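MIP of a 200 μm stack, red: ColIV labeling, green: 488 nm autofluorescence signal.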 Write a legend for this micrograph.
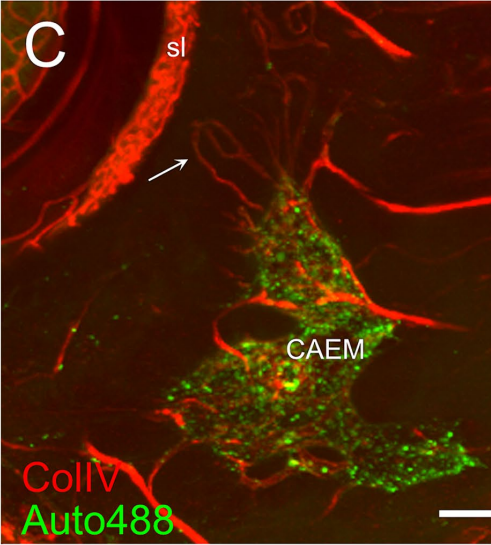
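A region beside the cochlear wall shows red tubular vessels running from a marrow cavity toward the spiral ligament. The marrow space appears as an irregular mass filled with bright green speckles, with red vessels entering and crossing it. At its upper edge a thin red vessel forms a small closed loop that reaches toward a broad, brightly red, curved band on the upper left. Thicker red vessels extend horizontally across the darker surrounding bone.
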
